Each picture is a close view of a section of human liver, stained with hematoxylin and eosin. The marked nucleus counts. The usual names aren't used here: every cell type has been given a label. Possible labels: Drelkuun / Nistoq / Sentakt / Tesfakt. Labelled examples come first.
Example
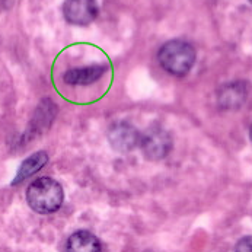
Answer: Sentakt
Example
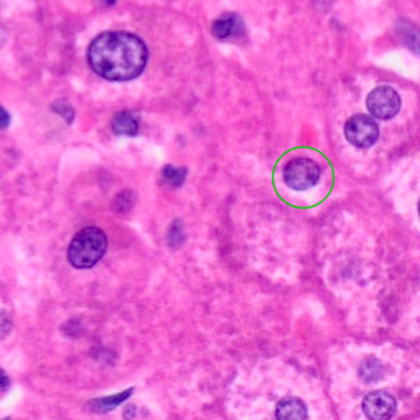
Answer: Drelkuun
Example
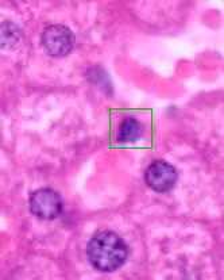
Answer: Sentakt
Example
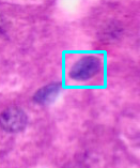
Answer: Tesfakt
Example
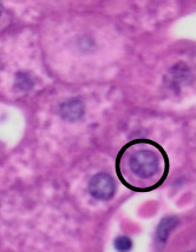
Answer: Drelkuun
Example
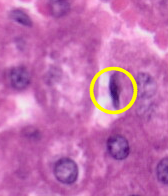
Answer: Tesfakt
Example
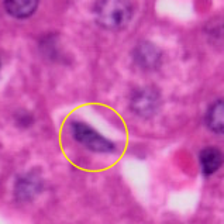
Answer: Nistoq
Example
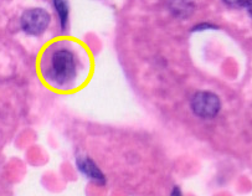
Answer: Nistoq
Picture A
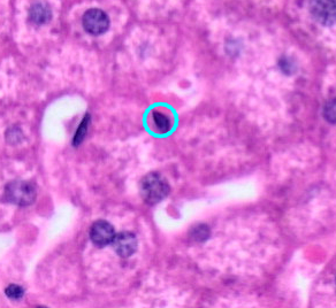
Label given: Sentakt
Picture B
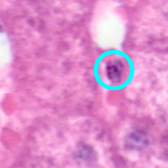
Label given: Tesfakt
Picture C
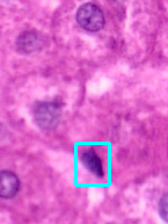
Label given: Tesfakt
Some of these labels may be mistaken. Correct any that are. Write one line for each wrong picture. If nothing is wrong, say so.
C: Sentakt, not Tesfakt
